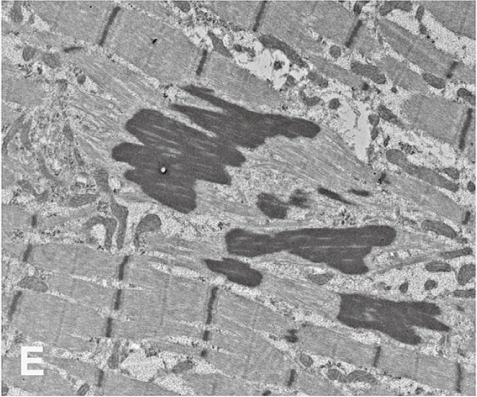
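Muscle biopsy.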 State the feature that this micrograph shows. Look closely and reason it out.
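Rod-like structure with high electron density. Large elongated very dark bodies lie between myofibril segments. The dark bodies lie parallel to the myofibrils.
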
